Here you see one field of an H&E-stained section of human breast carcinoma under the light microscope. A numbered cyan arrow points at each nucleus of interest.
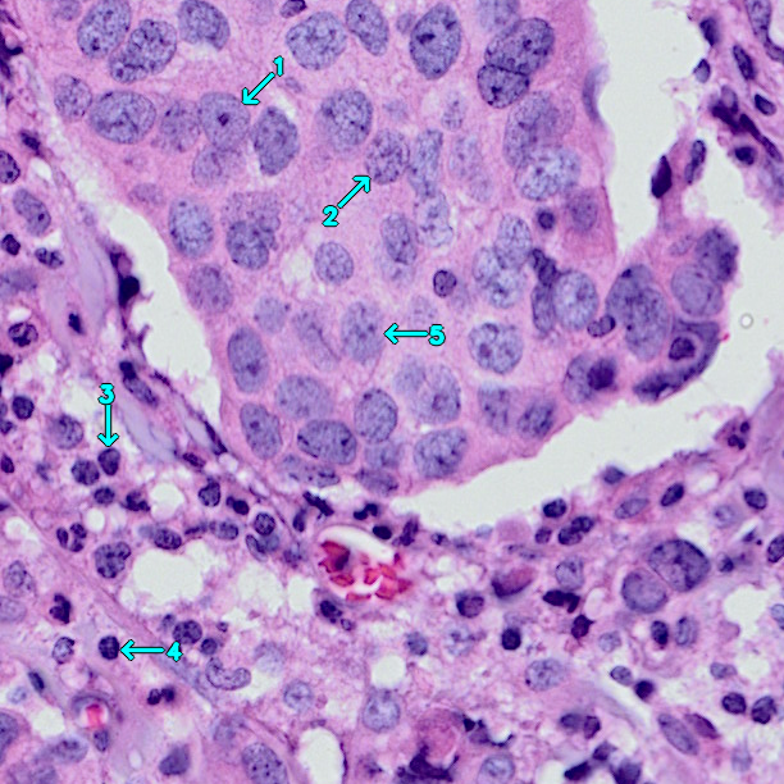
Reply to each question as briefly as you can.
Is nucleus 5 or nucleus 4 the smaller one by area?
4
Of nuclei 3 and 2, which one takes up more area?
2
